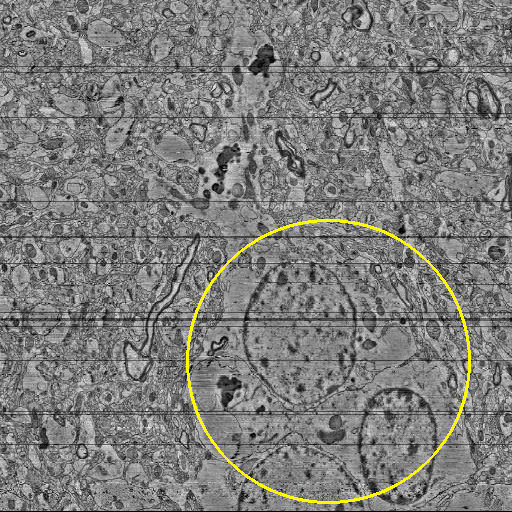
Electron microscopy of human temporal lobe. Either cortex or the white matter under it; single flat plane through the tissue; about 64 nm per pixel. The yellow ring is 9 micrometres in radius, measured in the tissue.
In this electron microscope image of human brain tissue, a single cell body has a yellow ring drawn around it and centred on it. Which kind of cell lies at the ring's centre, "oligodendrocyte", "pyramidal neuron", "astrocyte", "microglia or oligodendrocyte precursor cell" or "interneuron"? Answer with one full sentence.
It is an astrocyte whose cell body lies at the centre of the yellow ring here.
